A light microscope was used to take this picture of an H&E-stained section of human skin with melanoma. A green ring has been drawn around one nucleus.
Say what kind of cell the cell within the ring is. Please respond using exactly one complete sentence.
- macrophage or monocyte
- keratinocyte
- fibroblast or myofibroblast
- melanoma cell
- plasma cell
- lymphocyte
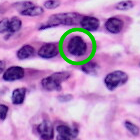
The expected answer is simply that the cell within the ring is a plasma cell.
